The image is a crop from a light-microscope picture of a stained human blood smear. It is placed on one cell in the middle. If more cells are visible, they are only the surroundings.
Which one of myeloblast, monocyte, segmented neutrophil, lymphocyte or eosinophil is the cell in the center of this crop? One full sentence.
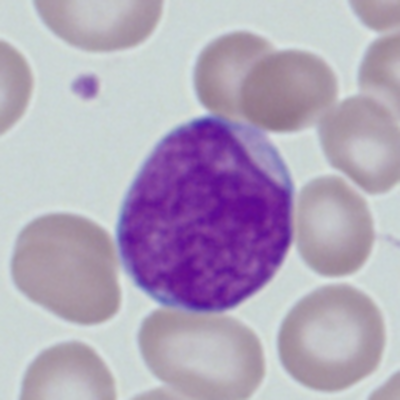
Standing at the centre of this crop is a myeloblast.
